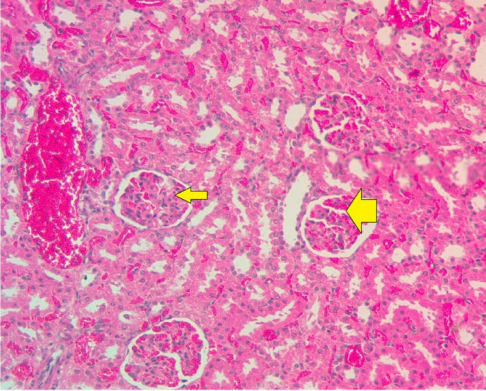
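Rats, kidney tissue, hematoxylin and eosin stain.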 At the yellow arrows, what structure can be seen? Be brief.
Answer: Glomeruli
